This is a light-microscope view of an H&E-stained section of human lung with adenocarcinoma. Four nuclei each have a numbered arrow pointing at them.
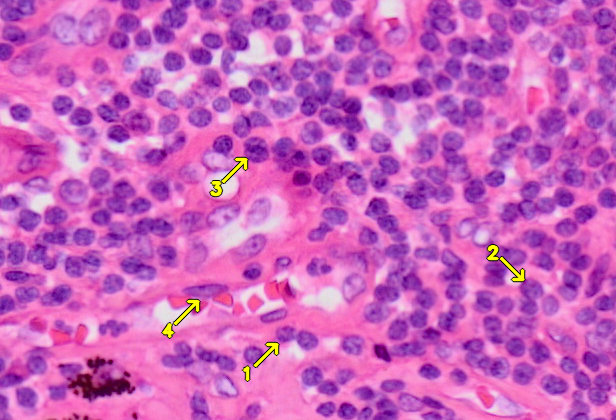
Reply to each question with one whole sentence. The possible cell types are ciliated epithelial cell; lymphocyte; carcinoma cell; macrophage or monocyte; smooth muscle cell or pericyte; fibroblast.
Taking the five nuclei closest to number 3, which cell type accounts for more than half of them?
Around number 3, most of the five nearest nuclei are those of lymphocytes.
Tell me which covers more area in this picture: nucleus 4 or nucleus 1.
Nucleus 4 is larger, with an area about 1.5 times that of nucleus 1.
